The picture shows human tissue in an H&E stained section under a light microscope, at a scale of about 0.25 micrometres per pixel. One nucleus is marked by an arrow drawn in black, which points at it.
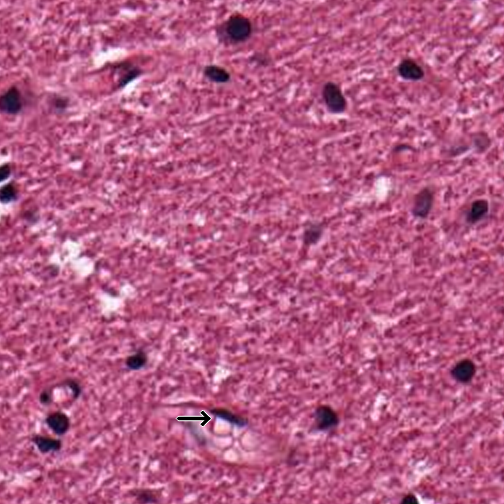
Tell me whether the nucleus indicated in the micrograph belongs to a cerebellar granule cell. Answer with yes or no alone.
no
